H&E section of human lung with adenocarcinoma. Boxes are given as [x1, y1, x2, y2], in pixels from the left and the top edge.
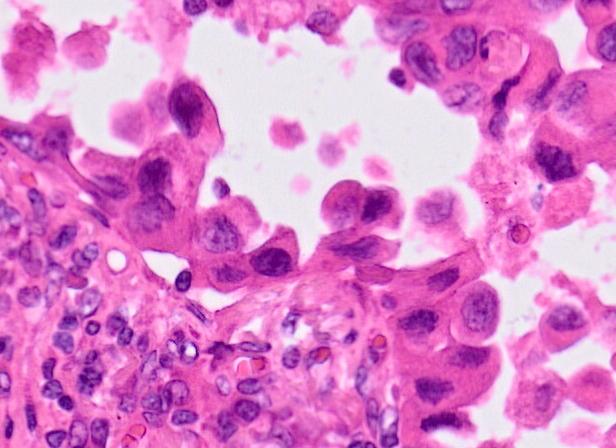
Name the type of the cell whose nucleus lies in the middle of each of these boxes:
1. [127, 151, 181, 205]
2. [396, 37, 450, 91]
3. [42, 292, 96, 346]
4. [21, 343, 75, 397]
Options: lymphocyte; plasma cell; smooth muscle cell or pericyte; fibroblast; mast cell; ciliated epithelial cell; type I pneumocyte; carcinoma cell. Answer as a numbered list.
1. carcinoma cell
2. carcinoma cell
3. lymphocyte
4. lymphocyte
